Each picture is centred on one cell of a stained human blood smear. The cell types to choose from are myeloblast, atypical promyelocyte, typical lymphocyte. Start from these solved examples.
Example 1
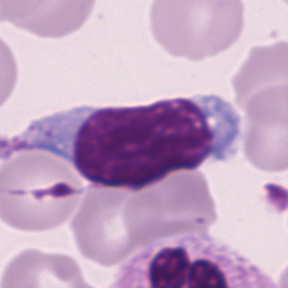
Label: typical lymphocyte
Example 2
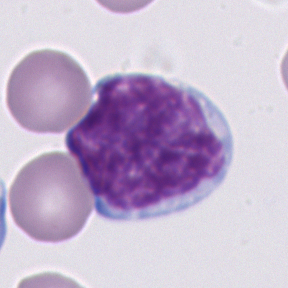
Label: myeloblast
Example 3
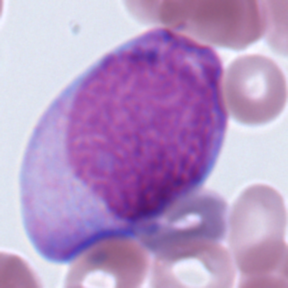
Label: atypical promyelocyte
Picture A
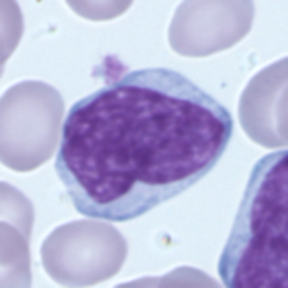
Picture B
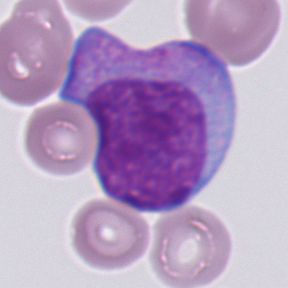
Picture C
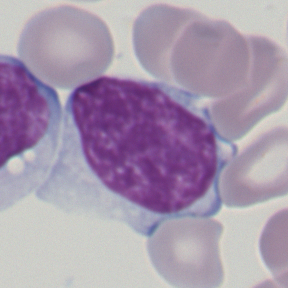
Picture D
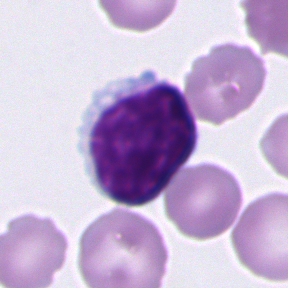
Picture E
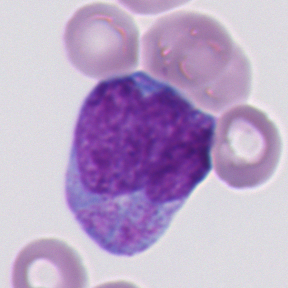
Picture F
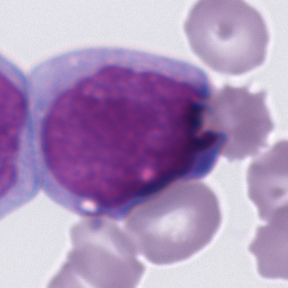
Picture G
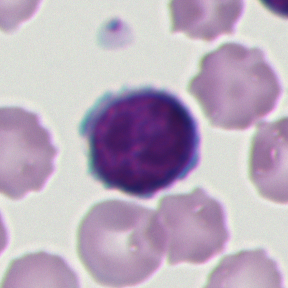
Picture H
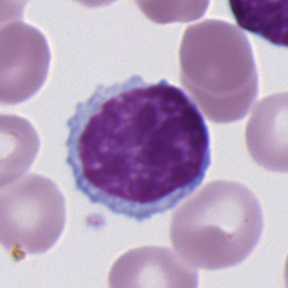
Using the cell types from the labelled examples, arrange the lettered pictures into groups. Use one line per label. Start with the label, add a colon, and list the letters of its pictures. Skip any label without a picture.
myeloblast: A, C, F
atypical promyelocyte: B, E
typical lymphocyte: D, G, H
